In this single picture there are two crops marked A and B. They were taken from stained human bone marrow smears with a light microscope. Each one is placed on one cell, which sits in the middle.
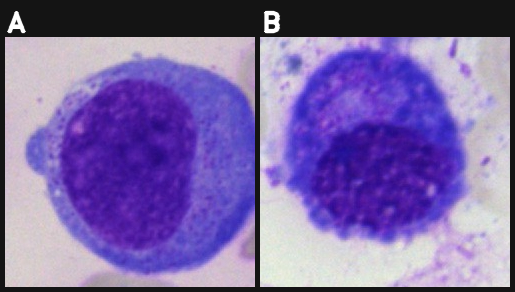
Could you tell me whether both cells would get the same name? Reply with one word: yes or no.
no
